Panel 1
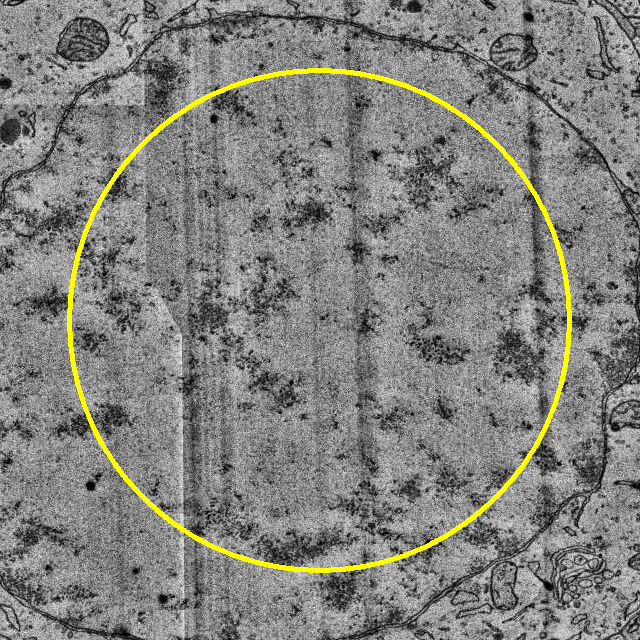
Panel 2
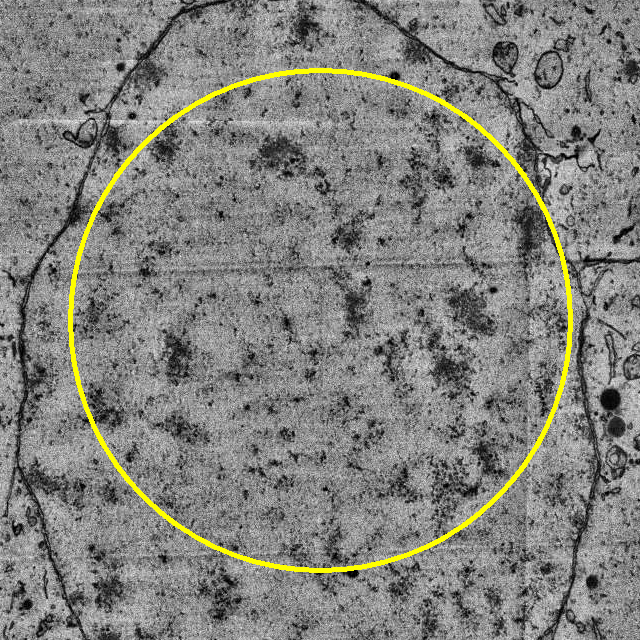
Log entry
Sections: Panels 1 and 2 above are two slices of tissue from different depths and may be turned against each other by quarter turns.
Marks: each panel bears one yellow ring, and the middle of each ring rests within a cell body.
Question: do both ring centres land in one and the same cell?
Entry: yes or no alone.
no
